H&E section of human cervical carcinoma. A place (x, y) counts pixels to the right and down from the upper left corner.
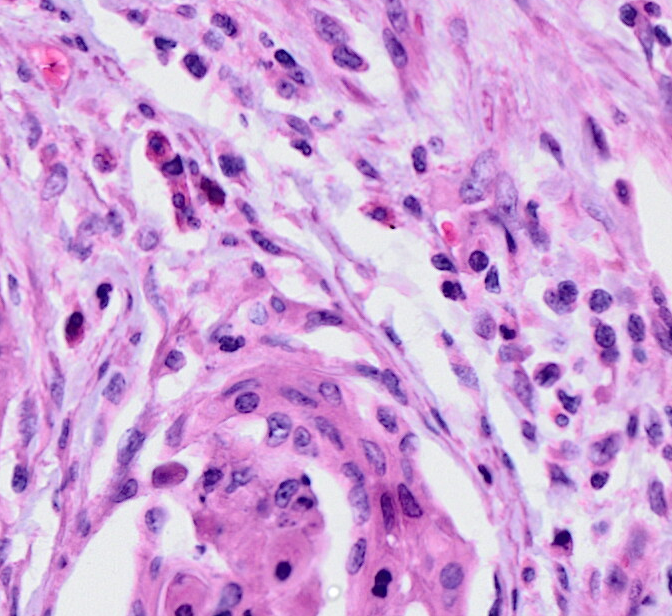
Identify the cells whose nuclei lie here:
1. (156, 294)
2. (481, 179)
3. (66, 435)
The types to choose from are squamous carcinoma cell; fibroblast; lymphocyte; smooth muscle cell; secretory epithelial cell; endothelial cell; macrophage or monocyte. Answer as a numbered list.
1. fibroblast
2. endothelial cell
3. fibroblast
